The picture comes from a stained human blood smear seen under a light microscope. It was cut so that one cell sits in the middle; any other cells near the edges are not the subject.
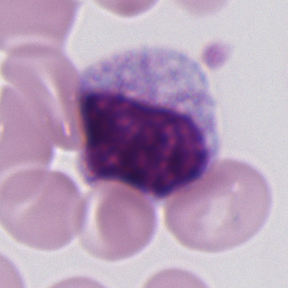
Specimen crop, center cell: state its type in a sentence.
The centrally positioned cell in the crop represents a metamyelocyte.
